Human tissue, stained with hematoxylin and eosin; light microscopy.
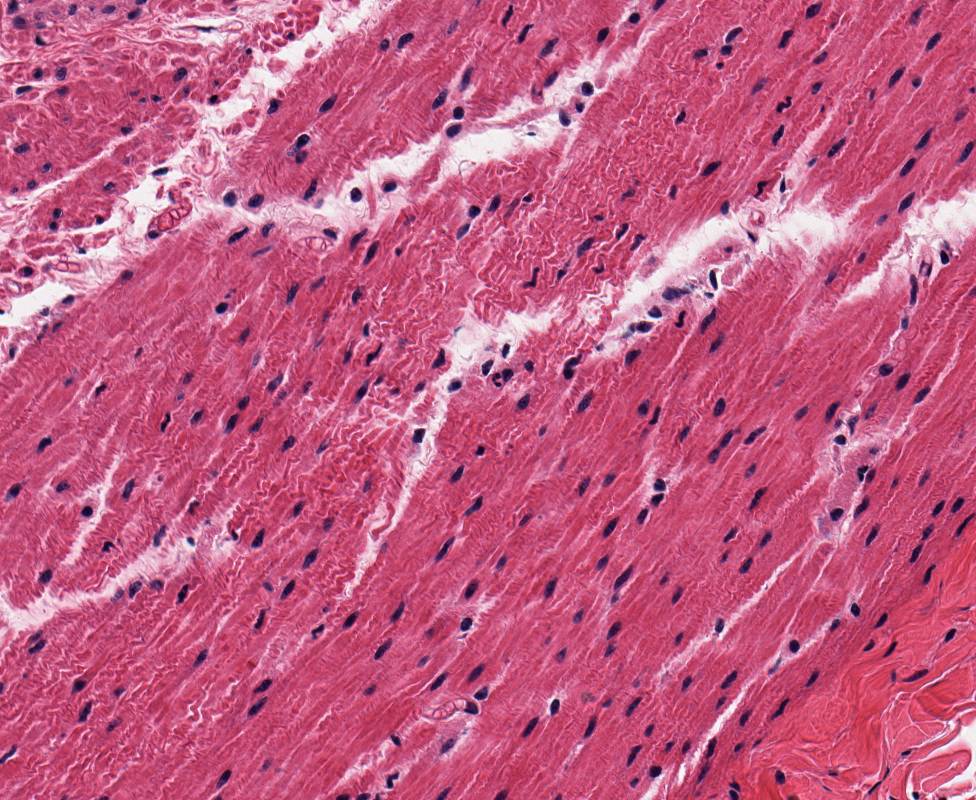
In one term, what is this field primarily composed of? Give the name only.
smooth muscle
